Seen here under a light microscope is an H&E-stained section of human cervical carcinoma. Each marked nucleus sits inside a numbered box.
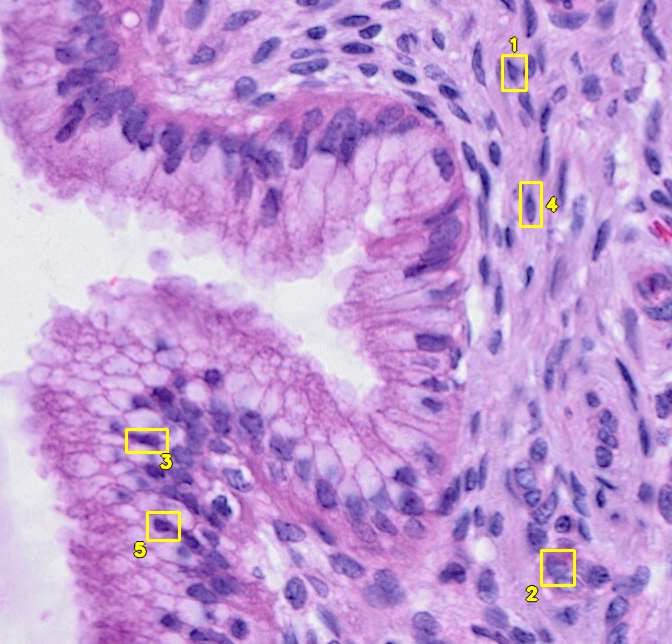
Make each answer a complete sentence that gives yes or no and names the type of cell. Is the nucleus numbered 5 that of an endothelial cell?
No, cell 5 represents a secretory epithelial cell rather than an endothelial cell.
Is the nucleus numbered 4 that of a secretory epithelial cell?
No, cell 4, which is a fibroblast, is not a secretory epithelial cell.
